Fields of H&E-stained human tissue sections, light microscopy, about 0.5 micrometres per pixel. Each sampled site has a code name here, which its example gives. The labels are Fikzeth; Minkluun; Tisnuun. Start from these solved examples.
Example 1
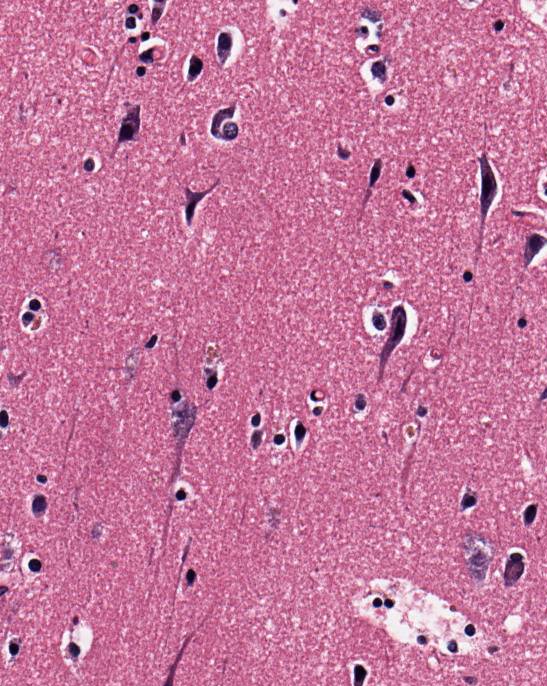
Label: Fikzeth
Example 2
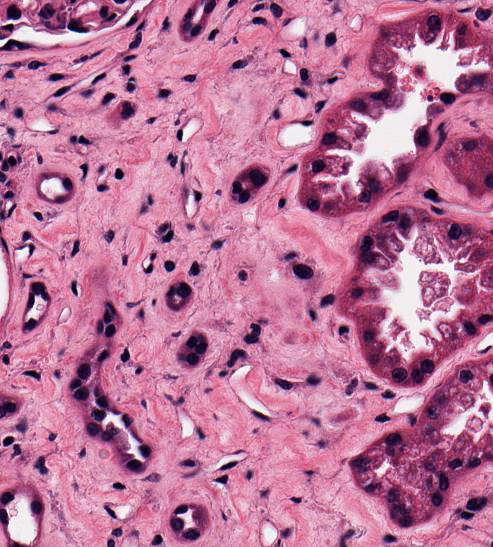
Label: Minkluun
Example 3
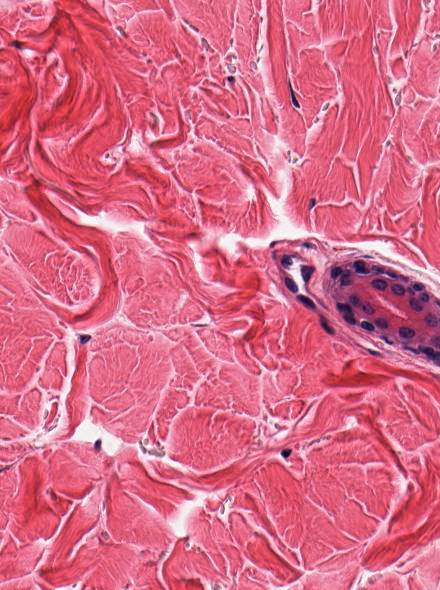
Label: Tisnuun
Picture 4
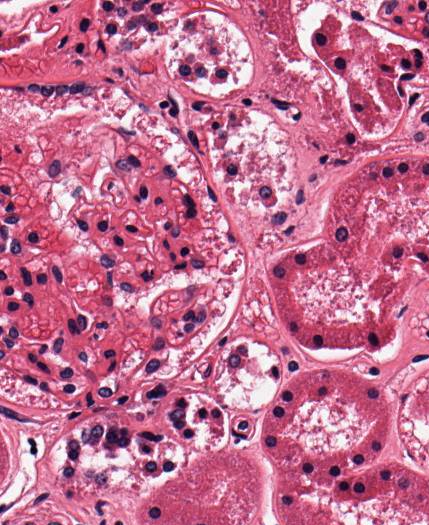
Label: Minkluun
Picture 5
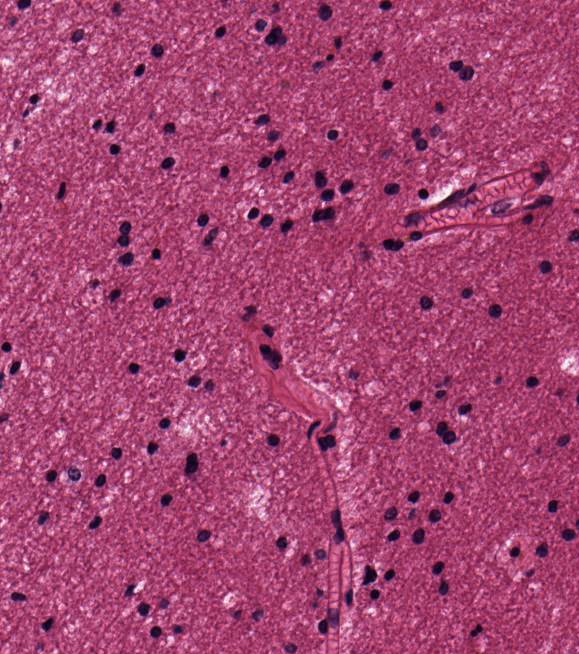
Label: Fikzeth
